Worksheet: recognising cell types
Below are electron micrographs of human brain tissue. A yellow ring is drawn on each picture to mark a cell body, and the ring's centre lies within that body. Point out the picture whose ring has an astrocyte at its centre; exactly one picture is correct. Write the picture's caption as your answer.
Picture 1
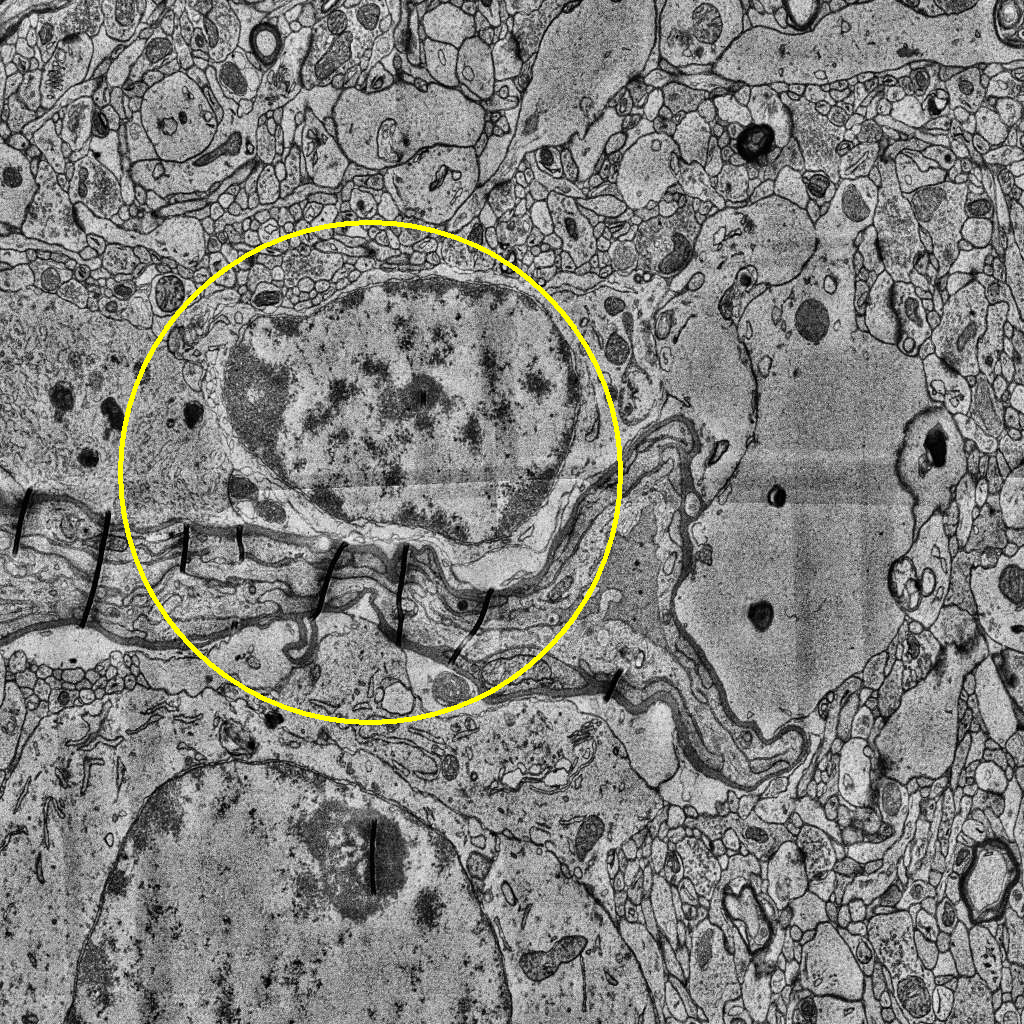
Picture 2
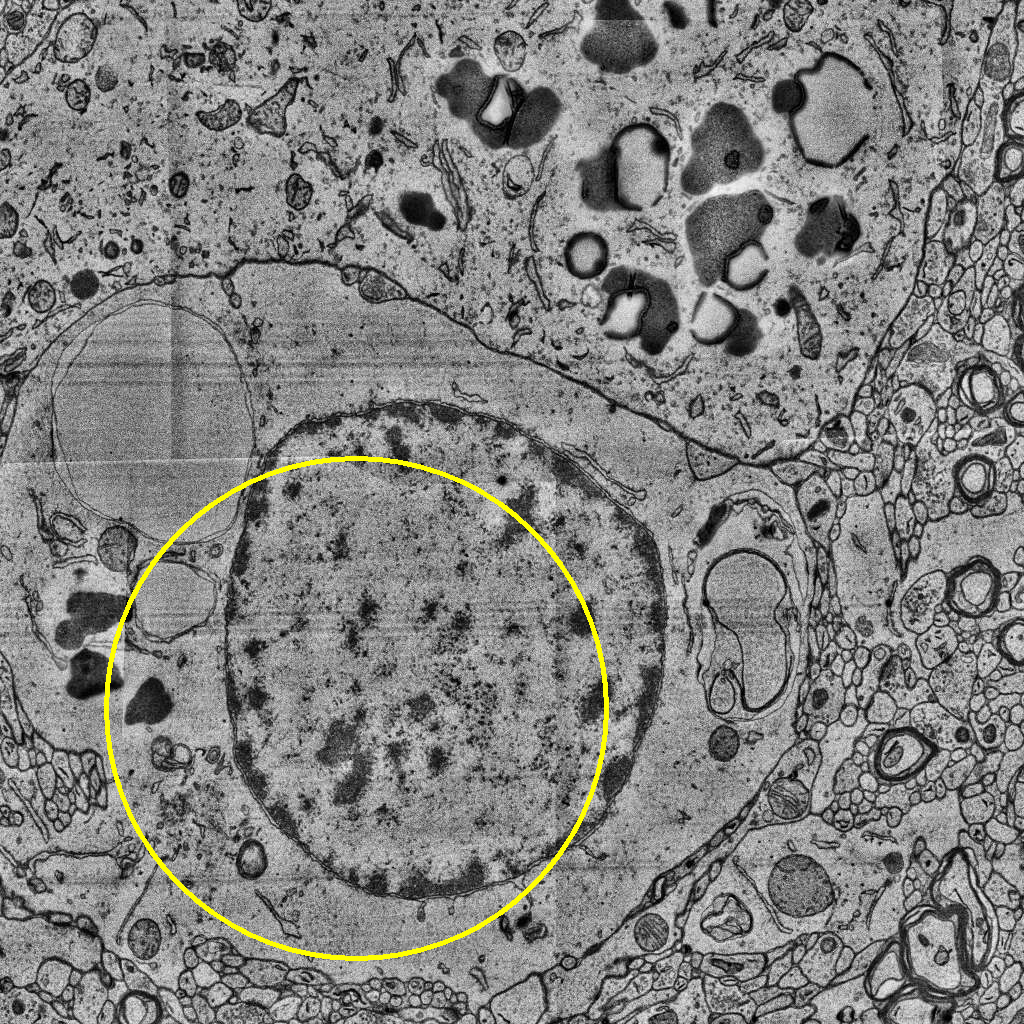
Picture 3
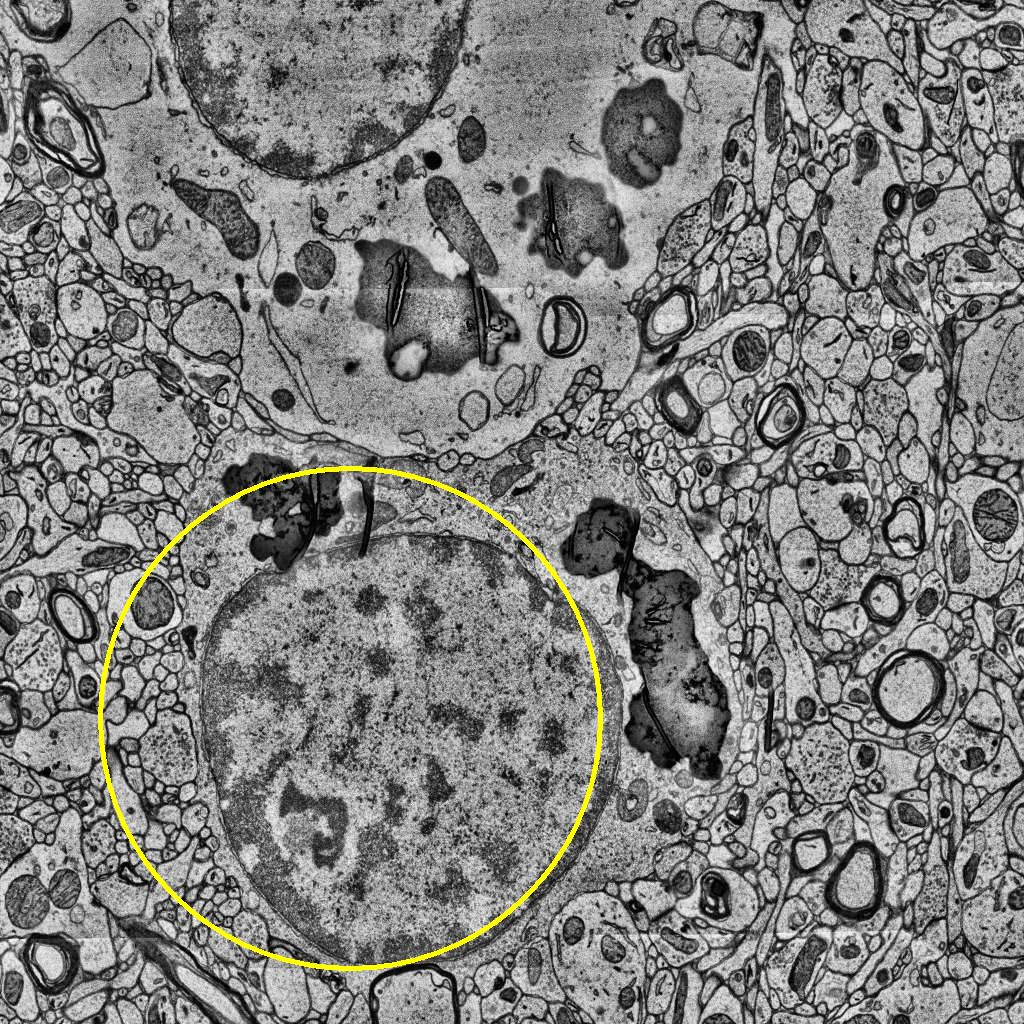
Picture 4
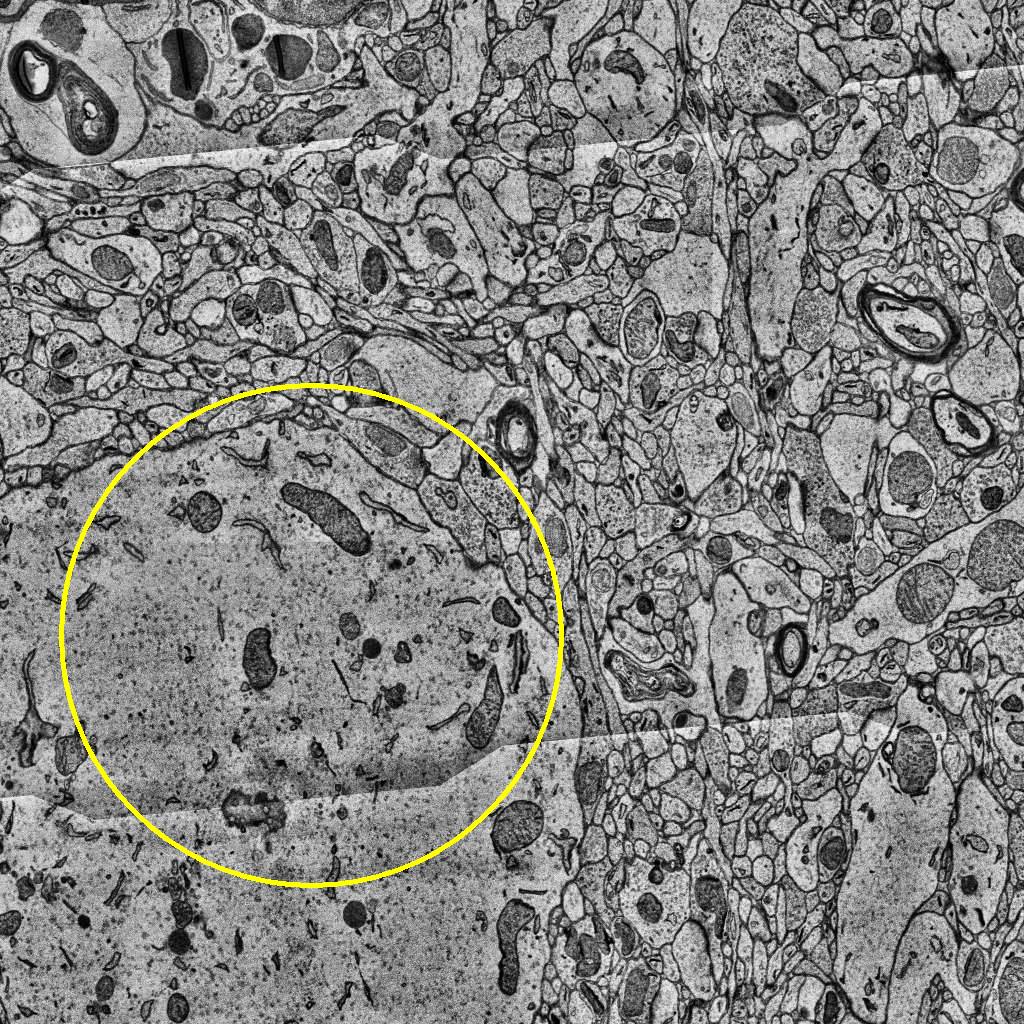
Picture 2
